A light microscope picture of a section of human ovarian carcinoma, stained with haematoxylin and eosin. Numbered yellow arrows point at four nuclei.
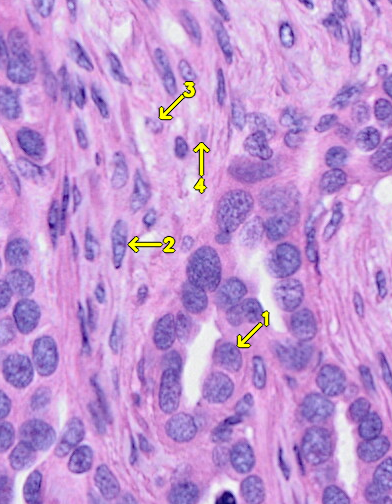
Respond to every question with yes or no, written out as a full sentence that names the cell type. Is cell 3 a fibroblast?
Yes, the cell at marker 3 is a fibroblast.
